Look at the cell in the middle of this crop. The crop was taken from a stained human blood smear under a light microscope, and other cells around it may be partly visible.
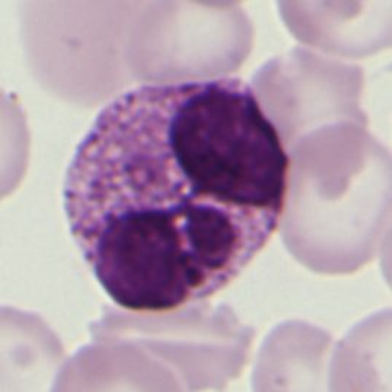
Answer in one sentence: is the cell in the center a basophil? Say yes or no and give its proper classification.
Yes, this is a basophil, the cell in the middle of the crop.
